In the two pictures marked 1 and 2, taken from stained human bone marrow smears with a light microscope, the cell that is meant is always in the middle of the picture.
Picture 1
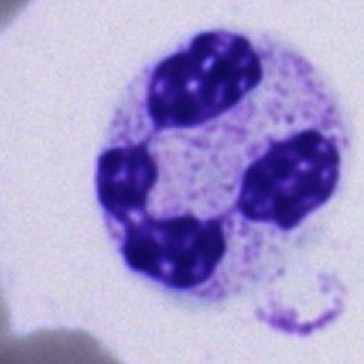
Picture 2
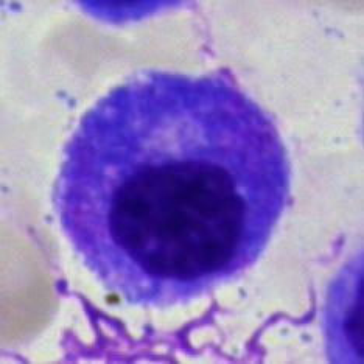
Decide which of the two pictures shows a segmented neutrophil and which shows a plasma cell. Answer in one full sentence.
It is picture 1 that shows a segmented neutrophil, and picture 2 that shows a plasma cell.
